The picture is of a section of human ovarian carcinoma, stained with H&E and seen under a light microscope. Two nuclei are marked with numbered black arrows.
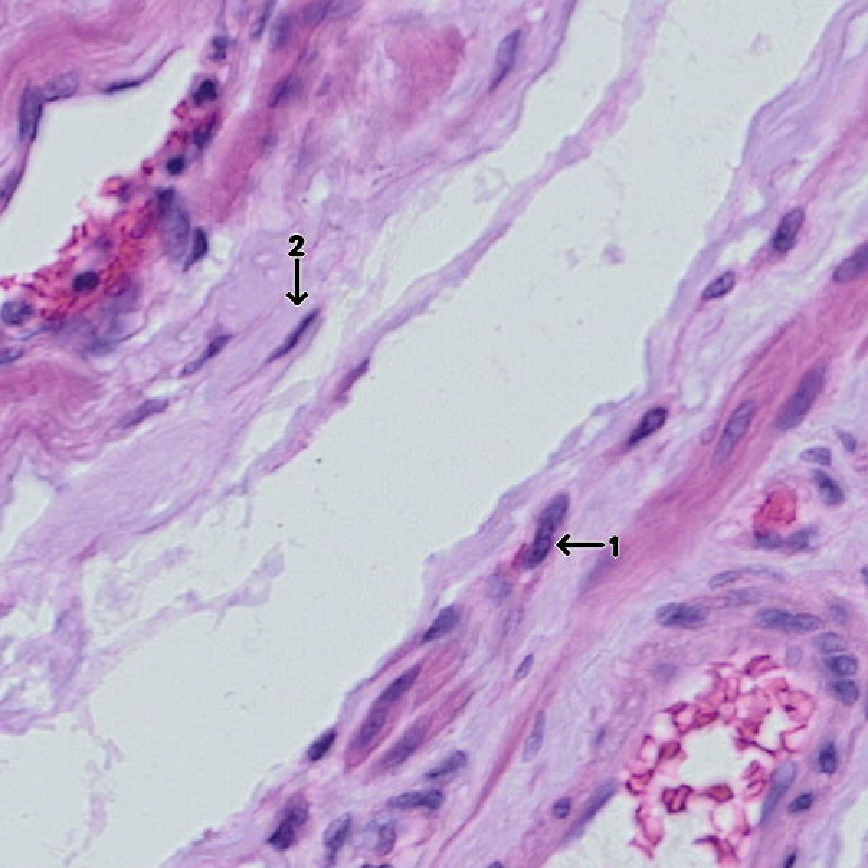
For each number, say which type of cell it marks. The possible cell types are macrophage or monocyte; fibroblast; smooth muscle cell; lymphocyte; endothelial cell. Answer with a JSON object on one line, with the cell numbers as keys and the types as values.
{"1": "endothelial cell", "2": "fibroblast"}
